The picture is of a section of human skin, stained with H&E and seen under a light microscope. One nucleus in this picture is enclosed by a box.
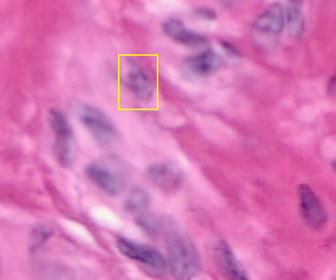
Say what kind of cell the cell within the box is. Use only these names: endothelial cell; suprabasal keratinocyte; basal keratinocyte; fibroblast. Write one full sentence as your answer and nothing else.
By its classification, the cell within the box is an endothelial cell.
